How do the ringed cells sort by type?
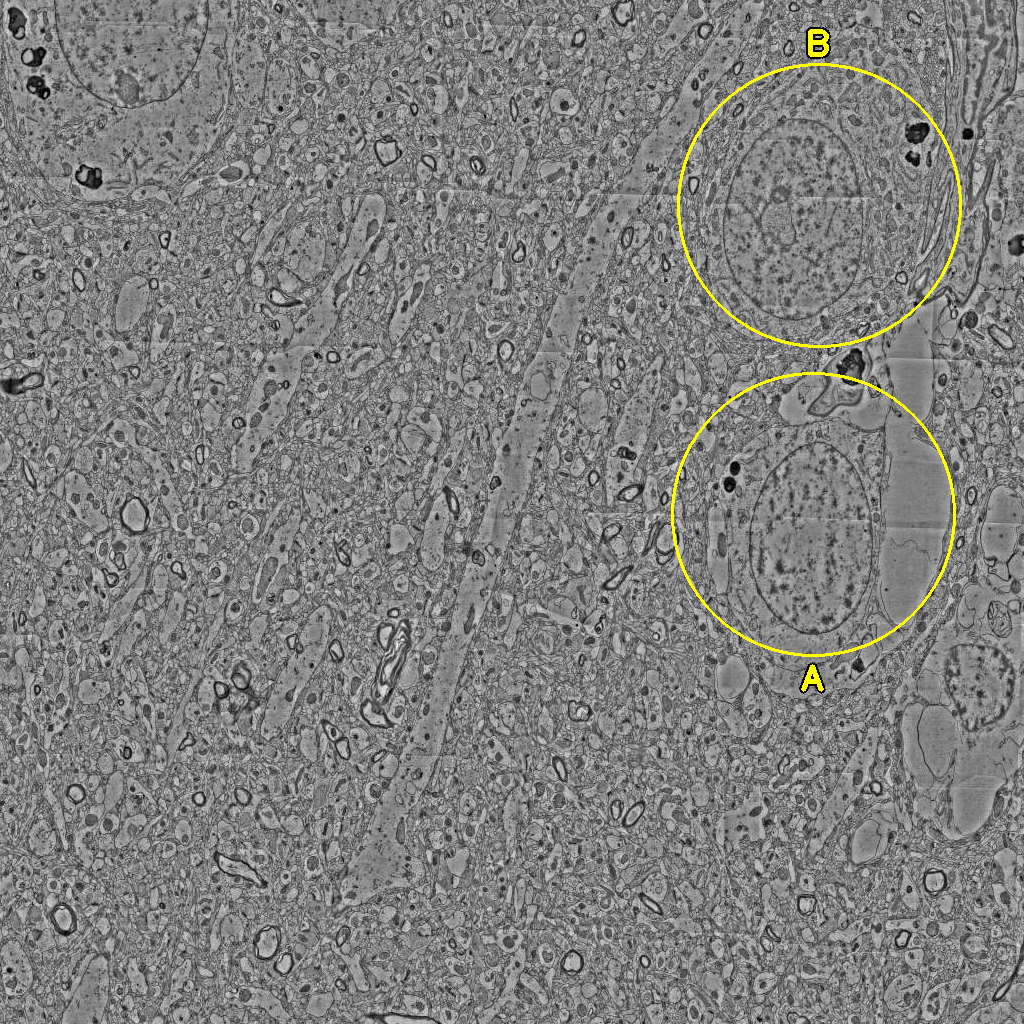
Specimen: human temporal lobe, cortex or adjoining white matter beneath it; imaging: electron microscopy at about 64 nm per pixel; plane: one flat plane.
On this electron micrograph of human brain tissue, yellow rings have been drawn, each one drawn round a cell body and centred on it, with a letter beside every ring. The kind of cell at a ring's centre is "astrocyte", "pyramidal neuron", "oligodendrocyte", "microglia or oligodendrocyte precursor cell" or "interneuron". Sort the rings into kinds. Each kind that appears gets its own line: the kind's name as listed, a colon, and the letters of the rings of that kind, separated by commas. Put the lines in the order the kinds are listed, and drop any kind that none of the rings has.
pyramidal neuron: A
interneuron: B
